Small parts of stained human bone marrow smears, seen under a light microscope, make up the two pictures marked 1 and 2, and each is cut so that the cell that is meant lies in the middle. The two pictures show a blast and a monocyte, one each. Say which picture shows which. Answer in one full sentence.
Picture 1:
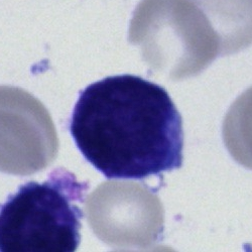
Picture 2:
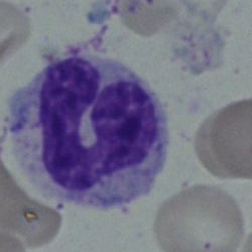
It is picture 1 that shows a blast, and picture 2 that shows a monocyte.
